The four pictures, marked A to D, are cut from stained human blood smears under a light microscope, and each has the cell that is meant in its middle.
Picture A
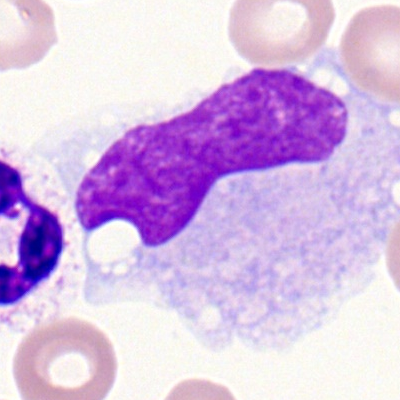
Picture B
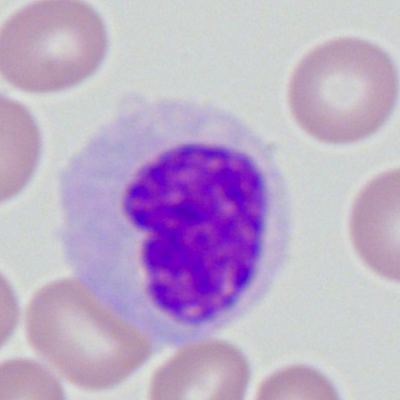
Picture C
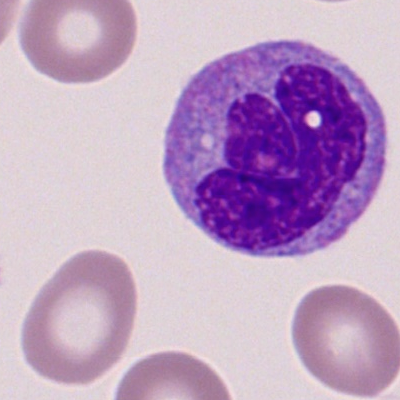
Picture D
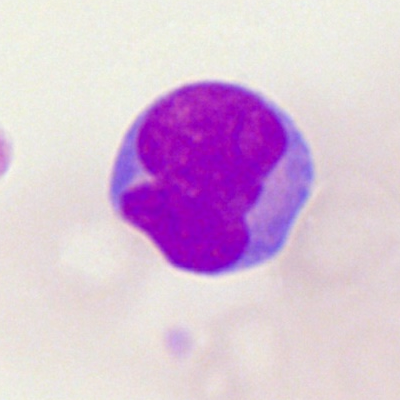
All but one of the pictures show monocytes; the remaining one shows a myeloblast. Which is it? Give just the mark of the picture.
D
